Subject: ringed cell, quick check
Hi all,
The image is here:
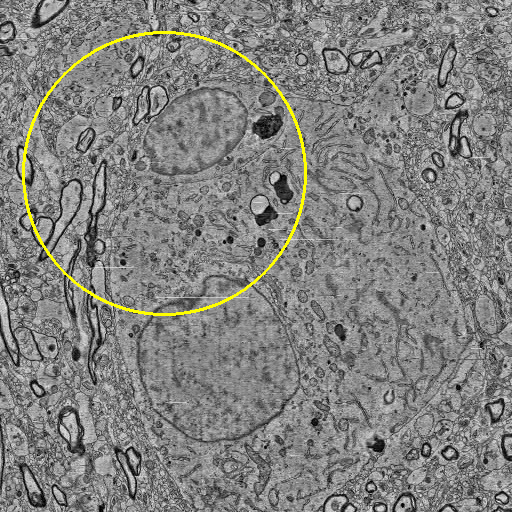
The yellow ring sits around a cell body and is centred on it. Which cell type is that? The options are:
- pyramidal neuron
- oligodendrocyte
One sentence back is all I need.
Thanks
That ringed cell is an oligodendrocyte.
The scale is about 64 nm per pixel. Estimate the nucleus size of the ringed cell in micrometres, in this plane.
About 7 micrometres by about 5 micrometres in this plane.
